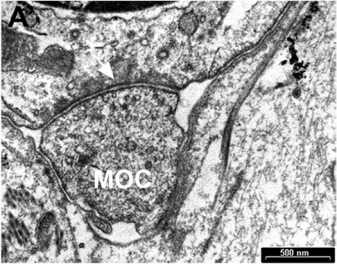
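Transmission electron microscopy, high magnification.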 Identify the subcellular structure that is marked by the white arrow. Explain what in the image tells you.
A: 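A rounded nerve terminal profile abuts a larger cell. The arrow points to a flattened membrane sac running along the contact on the side of the larger cell.
Synaptic cisterns.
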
